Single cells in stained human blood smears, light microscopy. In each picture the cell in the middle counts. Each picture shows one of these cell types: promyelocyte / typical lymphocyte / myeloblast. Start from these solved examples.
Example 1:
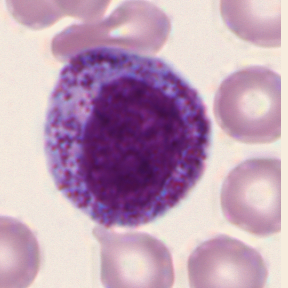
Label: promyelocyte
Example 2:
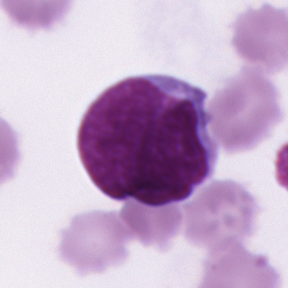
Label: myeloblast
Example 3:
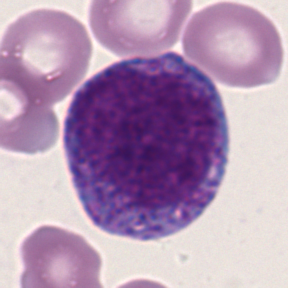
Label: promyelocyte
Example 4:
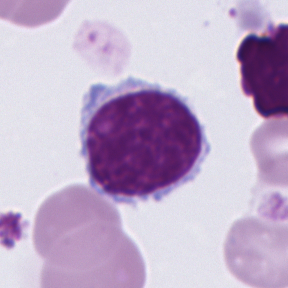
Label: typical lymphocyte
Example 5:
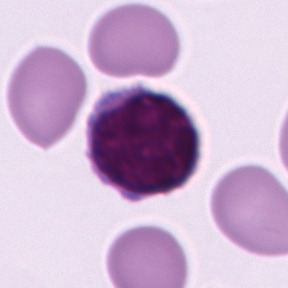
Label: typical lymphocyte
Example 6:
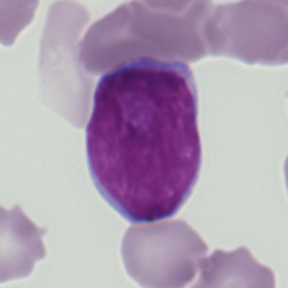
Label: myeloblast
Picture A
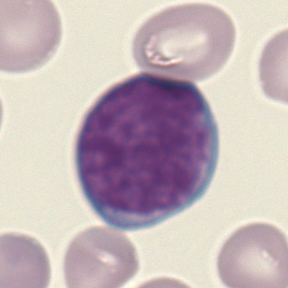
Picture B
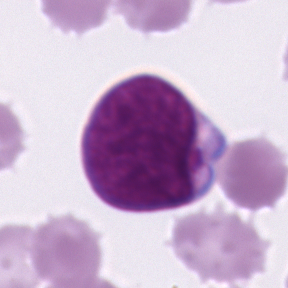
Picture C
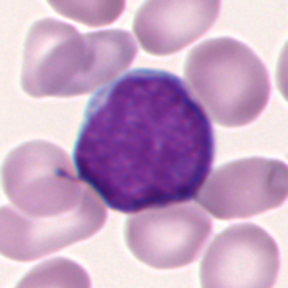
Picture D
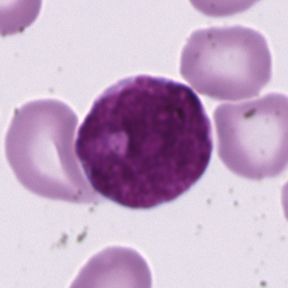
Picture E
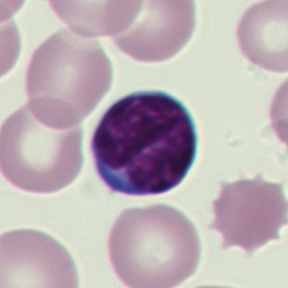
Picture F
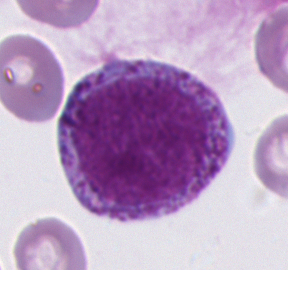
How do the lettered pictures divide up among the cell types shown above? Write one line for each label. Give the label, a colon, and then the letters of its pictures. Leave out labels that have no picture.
promyelocyte: F
typical lymphocyte: E
myeloblast: A, B, C, D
